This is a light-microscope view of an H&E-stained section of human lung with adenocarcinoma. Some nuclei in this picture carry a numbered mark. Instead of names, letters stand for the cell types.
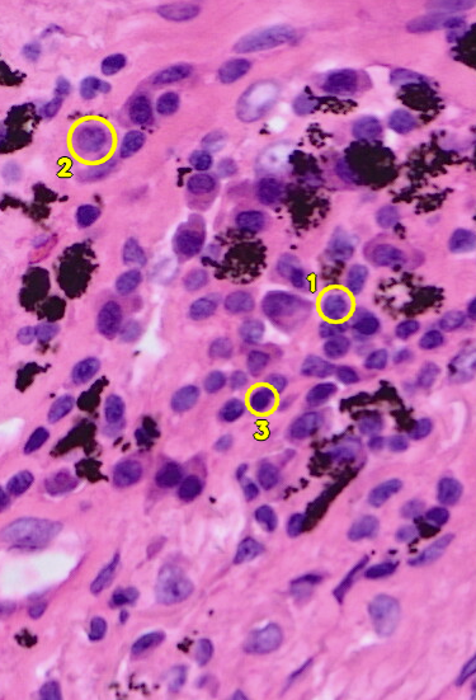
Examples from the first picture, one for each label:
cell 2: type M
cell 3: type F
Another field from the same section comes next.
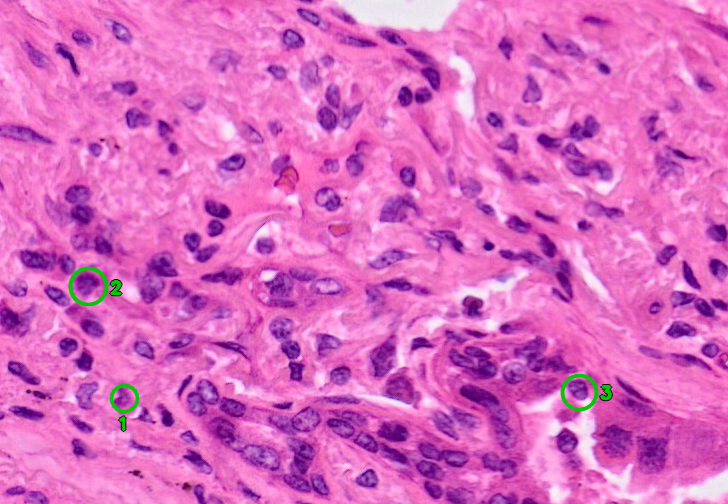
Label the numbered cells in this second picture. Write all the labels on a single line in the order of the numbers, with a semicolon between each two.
type M; type M; type F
